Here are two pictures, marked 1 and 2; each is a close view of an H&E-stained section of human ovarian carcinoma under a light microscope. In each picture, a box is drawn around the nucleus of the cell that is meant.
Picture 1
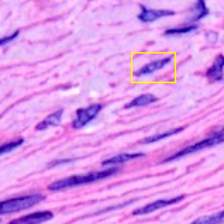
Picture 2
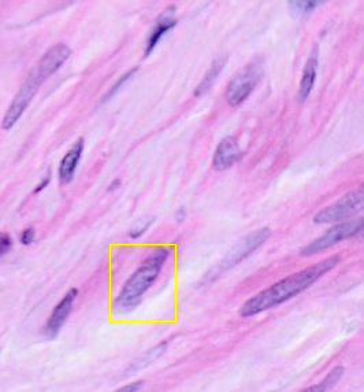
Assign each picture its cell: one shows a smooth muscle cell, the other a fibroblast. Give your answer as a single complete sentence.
It is picture 1 that shows a fibroblast, and picture 2 that shows a smooth muscle cell.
